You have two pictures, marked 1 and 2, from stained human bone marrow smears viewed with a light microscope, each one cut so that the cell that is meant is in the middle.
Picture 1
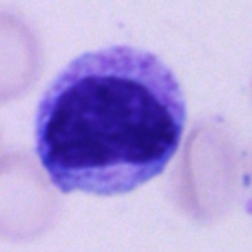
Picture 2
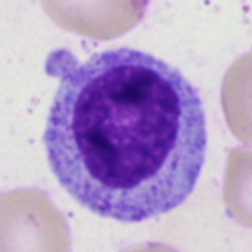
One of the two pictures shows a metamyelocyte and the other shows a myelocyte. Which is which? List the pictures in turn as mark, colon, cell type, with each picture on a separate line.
1: metamyelocyte
2: myelocyte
